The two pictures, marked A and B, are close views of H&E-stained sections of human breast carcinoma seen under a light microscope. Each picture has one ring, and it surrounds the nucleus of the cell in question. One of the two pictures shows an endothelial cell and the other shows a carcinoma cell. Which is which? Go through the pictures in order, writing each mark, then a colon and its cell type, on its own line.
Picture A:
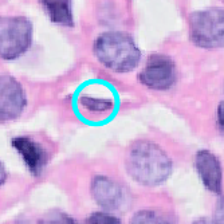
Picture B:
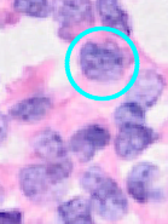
A: endothelial cell
B: carcinoma cell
